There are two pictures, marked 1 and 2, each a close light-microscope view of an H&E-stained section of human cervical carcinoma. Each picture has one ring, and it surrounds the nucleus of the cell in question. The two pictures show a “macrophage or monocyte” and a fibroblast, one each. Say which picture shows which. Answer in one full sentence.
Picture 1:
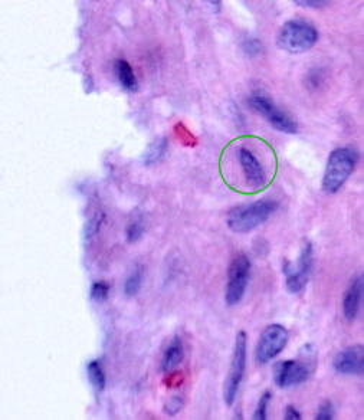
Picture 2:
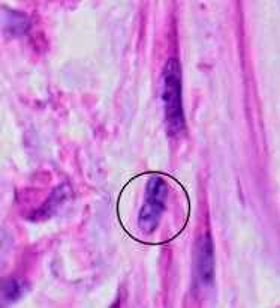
Picture 1 is of a fibroblast, and picture 2 is of a “macrophage or monocyte”.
